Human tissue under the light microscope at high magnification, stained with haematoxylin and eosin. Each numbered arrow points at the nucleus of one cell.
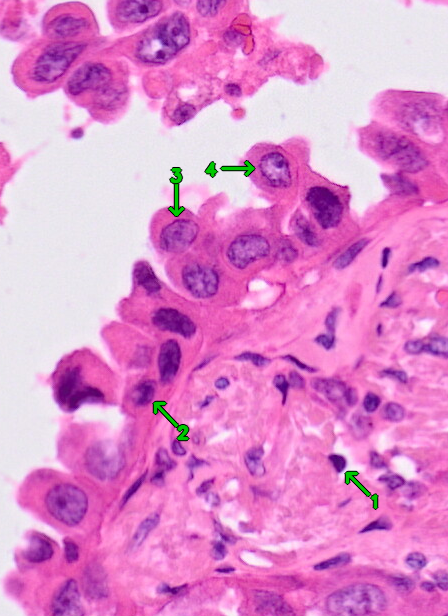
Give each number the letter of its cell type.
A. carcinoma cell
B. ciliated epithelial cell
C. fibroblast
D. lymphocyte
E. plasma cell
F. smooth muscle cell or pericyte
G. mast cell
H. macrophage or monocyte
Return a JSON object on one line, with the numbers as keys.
{"1": "D", "2": "A", "3": "A", "4": "A"}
